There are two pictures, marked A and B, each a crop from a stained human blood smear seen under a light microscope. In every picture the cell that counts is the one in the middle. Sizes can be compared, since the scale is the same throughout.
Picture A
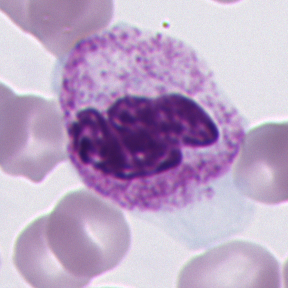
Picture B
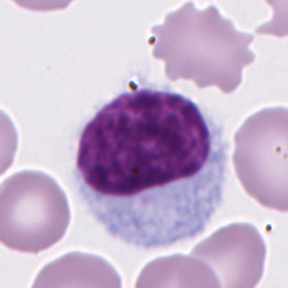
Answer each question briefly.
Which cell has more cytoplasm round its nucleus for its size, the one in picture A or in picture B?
A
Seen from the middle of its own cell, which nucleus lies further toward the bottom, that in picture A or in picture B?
A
